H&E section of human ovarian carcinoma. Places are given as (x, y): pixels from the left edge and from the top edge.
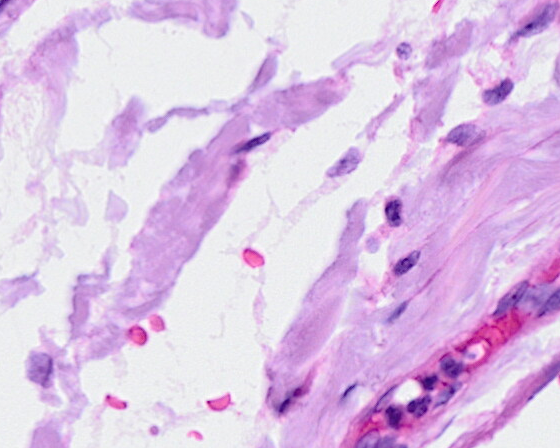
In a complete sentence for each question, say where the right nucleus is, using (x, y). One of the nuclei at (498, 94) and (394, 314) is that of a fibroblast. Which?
Of the two nuclei, the nucleus of a fibroblast is at (394, 314).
